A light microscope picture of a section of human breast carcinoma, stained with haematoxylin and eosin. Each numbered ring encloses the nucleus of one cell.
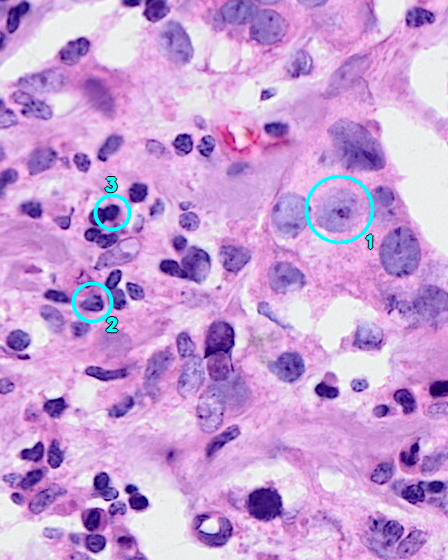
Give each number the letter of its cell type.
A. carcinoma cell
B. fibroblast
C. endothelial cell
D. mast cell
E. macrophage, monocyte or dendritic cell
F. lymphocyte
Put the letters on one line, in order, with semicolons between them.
A; F; F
